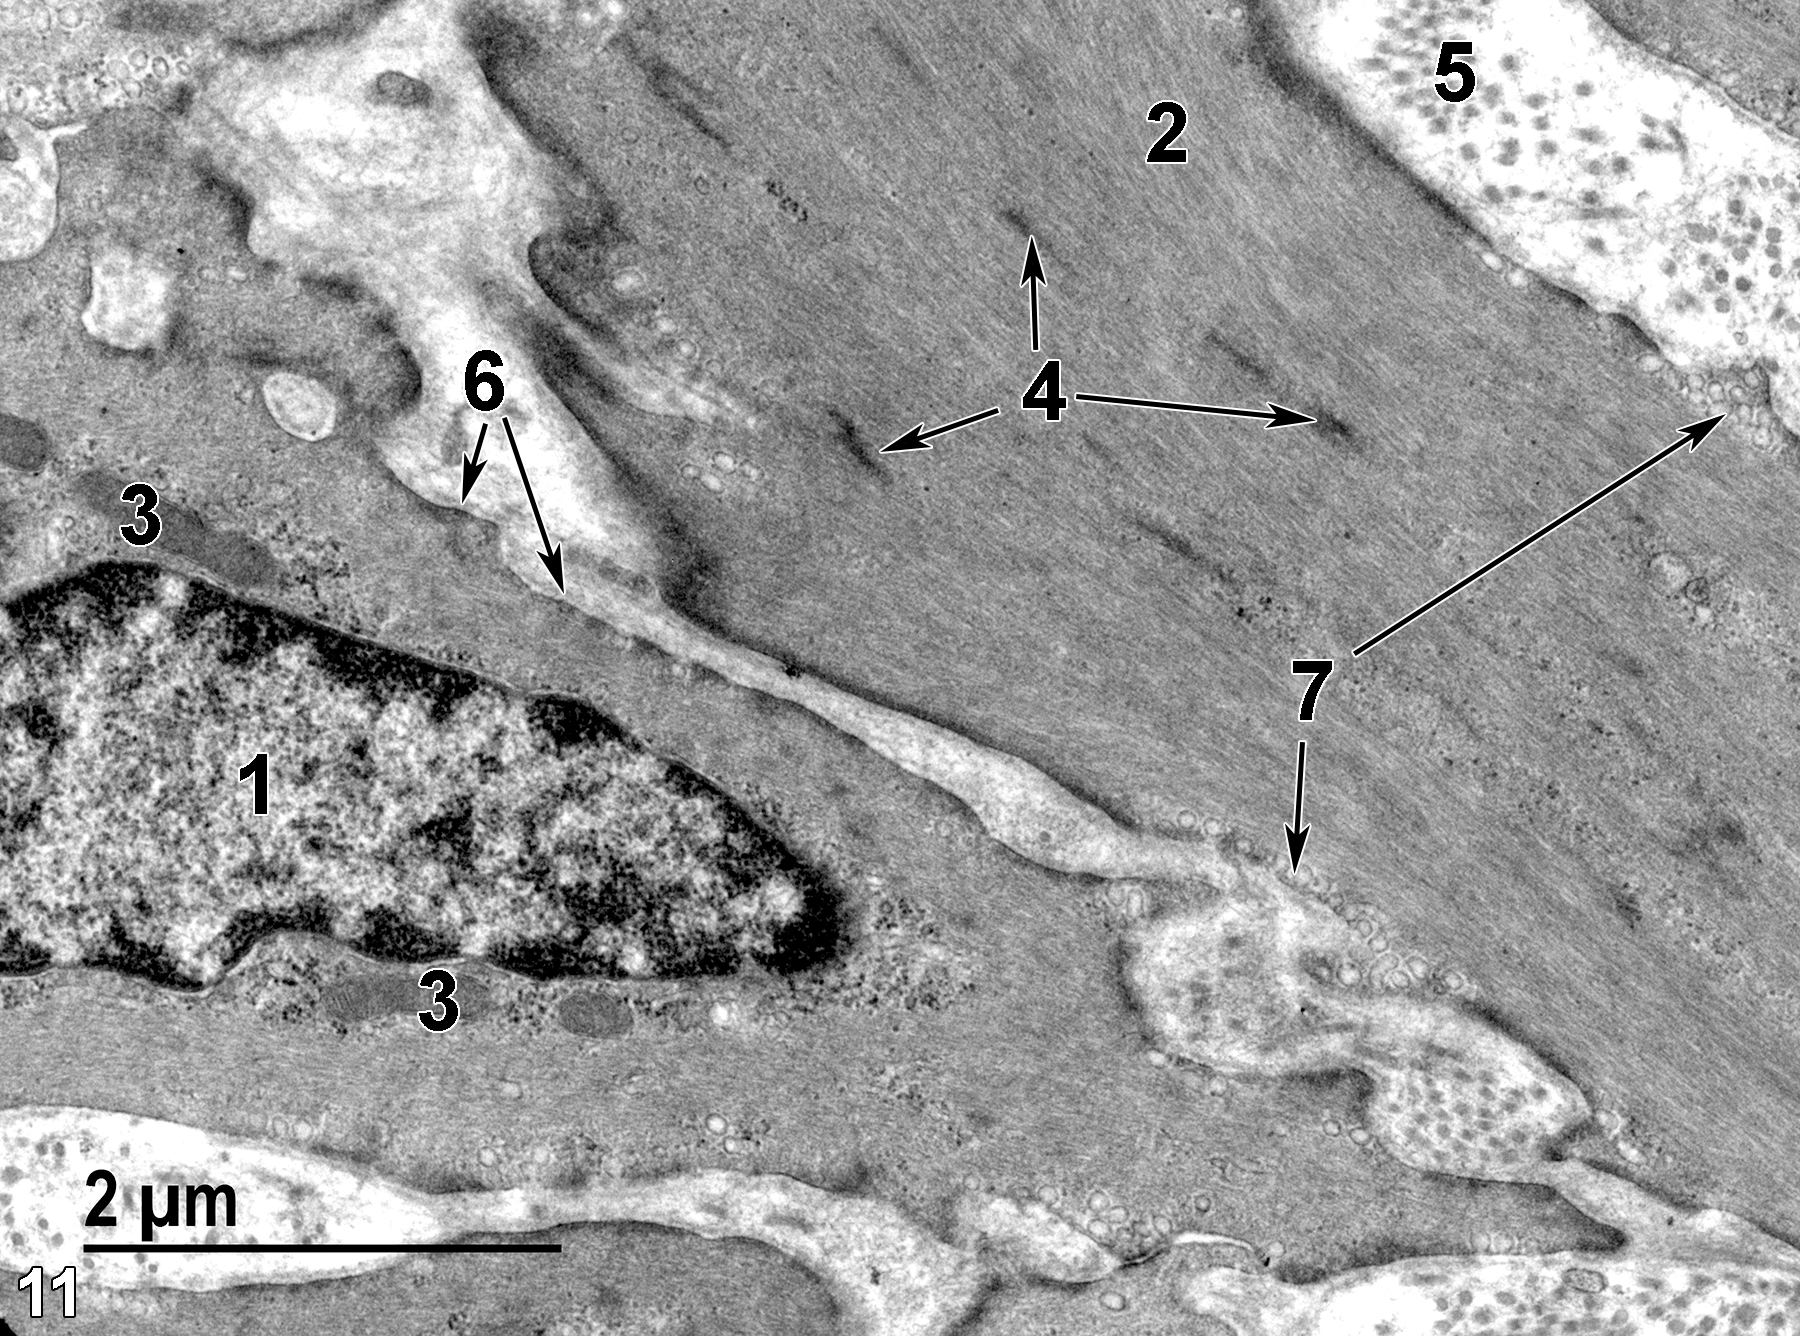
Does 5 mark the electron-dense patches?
No: the collagen fibrils.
